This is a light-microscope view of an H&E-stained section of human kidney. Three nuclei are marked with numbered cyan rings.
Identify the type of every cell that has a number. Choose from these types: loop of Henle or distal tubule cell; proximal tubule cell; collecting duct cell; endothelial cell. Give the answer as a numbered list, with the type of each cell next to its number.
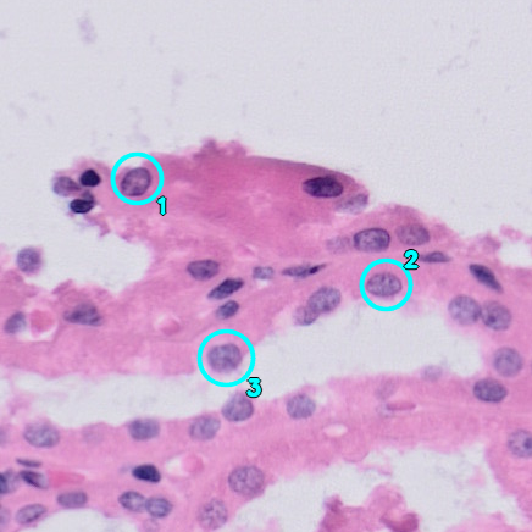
1. proximal tubule cell
2. loop of Henle or distal tubule cell
3. loop of Henle or distal tubule cell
